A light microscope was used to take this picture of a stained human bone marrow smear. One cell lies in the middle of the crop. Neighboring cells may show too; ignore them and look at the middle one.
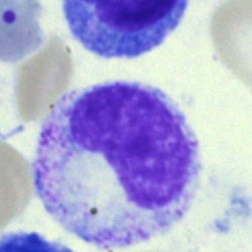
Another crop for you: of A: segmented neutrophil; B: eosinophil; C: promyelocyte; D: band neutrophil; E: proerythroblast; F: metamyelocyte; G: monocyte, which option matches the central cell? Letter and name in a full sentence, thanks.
Option F correctly states that the central cell is a metamyelocyte.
